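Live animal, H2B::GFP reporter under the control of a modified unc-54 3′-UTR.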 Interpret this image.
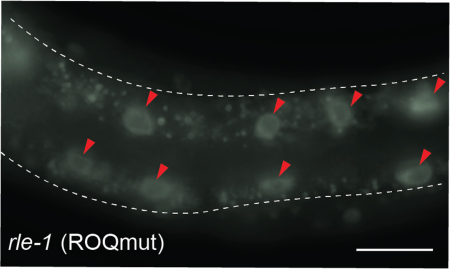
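Around and between them the cytoplasm is speckled with many small bright round granules. The nuclei are much larger than these granules and have a soft, evenly glowing appearance.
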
